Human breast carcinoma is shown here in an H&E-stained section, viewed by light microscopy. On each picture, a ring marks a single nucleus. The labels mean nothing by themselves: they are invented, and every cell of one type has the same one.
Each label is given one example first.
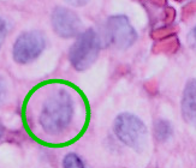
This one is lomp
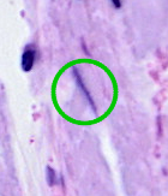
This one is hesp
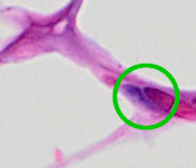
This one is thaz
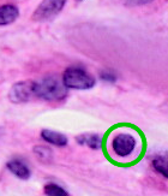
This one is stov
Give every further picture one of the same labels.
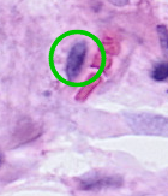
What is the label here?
thaz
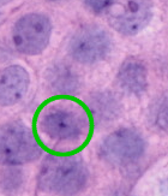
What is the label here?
lomp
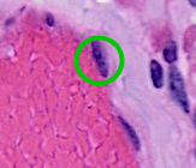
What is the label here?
thaz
